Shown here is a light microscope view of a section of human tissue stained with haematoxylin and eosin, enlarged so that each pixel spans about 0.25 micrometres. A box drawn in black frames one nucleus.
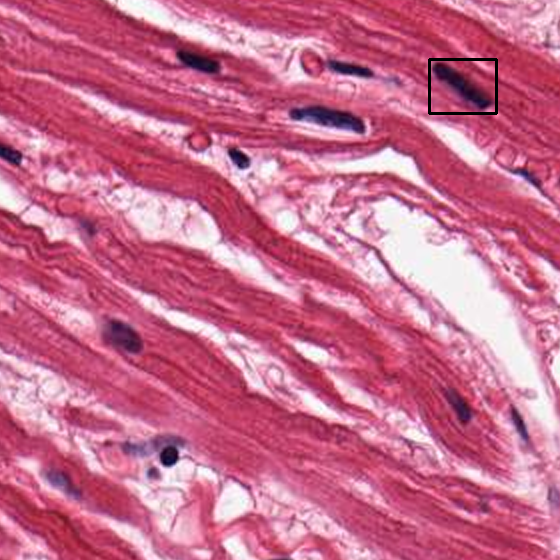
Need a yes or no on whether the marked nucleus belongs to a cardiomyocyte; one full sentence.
Yes, the marked nucleus is to be assigned to a cardiomyocyte.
